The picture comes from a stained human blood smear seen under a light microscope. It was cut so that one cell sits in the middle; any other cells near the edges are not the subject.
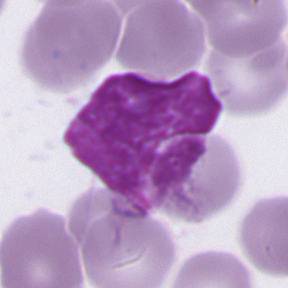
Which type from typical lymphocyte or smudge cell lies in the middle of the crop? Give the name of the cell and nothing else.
smudge cell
